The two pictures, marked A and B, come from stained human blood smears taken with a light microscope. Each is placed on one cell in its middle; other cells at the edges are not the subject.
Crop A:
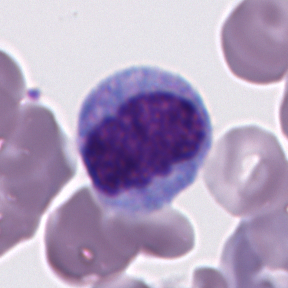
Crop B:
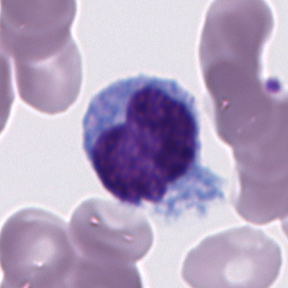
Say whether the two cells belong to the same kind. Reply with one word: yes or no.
yes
